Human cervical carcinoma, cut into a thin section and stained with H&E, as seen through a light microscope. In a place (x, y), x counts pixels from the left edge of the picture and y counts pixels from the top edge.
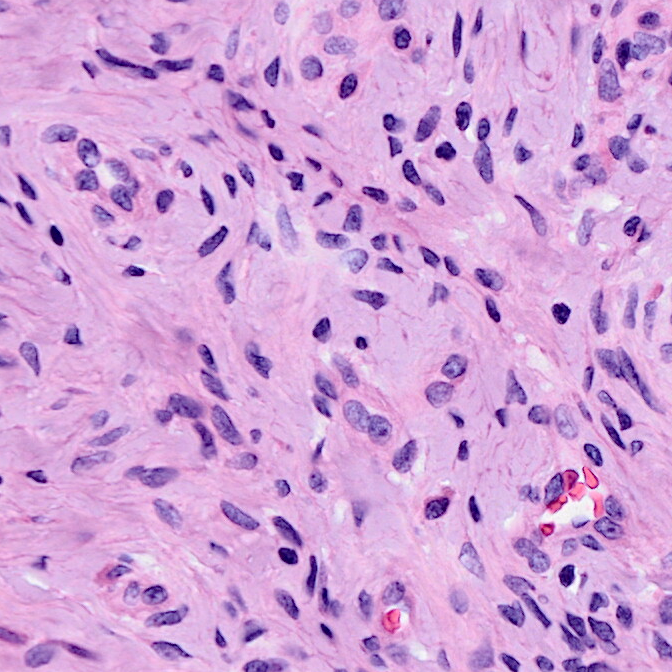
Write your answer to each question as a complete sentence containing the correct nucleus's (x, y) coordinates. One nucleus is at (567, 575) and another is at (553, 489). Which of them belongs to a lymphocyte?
The nucleus found at (567, 575) belongs to a lymphocyte.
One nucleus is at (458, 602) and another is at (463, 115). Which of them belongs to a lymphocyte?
The nucleus contained in a lymphocyte is the one at (463, 115).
